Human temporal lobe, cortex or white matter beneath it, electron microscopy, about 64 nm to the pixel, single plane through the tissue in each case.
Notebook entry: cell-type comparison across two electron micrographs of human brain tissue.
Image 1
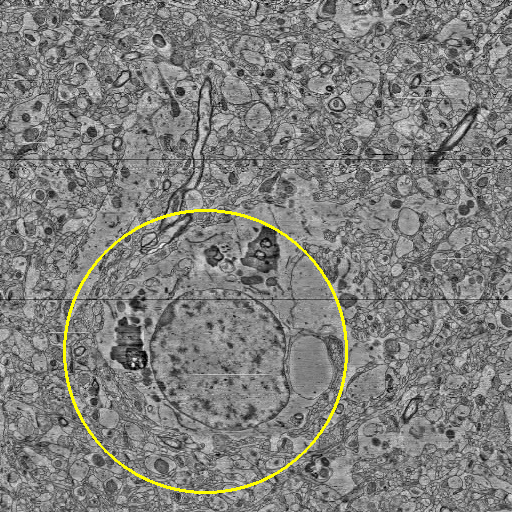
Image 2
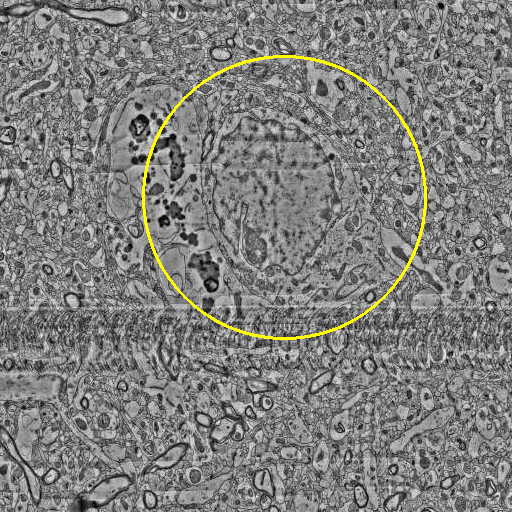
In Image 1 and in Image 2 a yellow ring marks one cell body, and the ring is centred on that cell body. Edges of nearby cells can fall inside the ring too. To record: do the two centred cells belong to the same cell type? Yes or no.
no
